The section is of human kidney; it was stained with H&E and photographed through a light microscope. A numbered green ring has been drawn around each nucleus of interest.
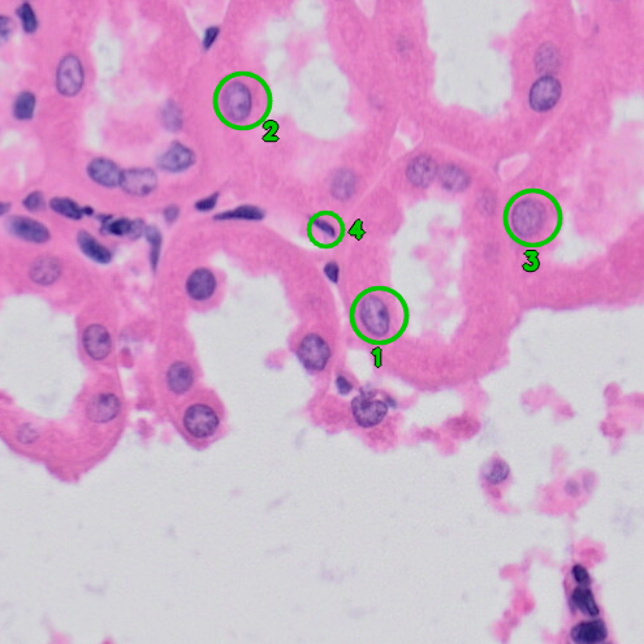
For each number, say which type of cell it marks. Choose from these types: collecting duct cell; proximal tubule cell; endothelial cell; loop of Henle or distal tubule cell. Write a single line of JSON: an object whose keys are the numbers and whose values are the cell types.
{"1": "proximal tubule cell", "2": "proximal tubule cell", "3": "proximal tubule cell", "4": "endothelial cell"}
